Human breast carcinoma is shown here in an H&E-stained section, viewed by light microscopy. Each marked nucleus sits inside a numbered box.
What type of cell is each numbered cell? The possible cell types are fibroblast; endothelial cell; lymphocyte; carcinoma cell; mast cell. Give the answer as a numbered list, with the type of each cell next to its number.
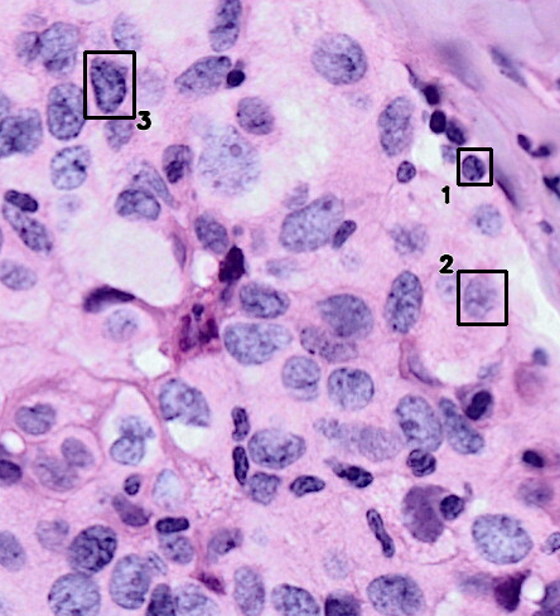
1. lymphocyte
2. carcinoma cell
3. carcinoma cell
